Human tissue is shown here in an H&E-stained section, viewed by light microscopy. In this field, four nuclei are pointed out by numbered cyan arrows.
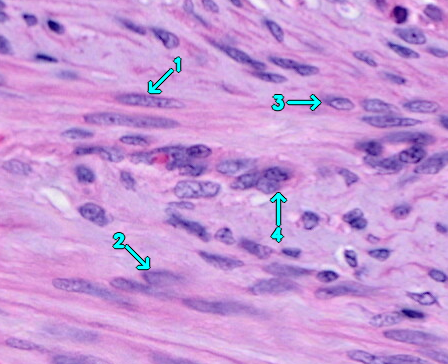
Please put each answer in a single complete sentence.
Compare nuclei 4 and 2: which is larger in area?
At about 1.5 times the area of nucleus 2, nucleus 4 is the larger of the two.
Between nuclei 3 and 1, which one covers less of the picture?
With nucleus 1 about 2 times its size, nucleus 3 is the smaller of the two.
